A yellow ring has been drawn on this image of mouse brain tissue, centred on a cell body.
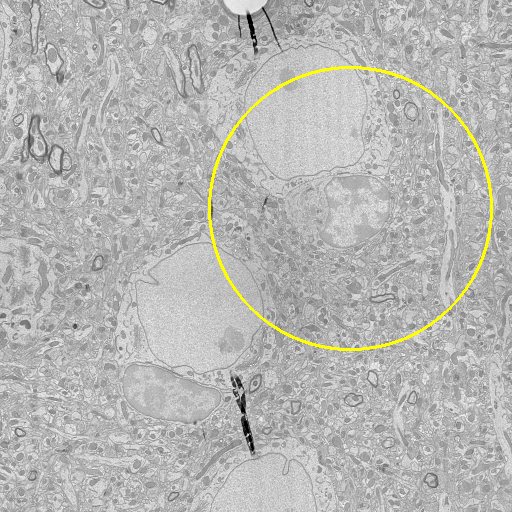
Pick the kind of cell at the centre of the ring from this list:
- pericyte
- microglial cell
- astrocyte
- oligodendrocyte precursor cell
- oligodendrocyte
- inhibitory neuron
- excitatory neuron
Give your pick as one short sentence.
The centre of the ring holds an oligodendrocyte.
